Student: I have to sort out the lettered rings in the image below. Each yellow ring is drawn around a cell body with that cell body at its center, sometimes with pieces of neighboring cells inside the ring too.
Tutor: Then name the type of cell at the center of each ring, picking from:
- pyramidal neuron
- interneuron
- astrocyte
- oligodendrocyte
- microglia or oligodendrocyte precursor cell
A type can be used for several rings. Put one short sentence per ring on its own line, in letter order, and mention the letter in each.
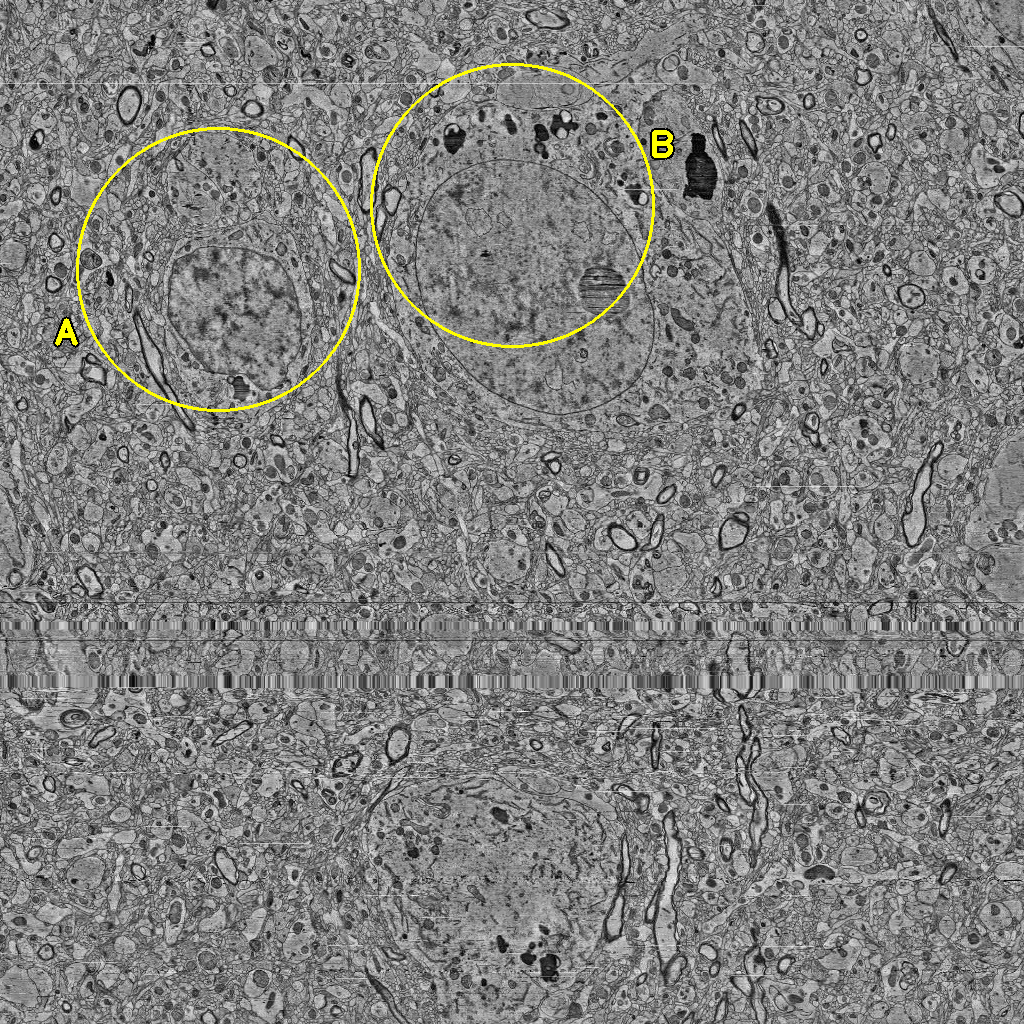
Inside ring A, at its center, is an interneuron.
Inside ring B, at its center, is a pyramidal neuron.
